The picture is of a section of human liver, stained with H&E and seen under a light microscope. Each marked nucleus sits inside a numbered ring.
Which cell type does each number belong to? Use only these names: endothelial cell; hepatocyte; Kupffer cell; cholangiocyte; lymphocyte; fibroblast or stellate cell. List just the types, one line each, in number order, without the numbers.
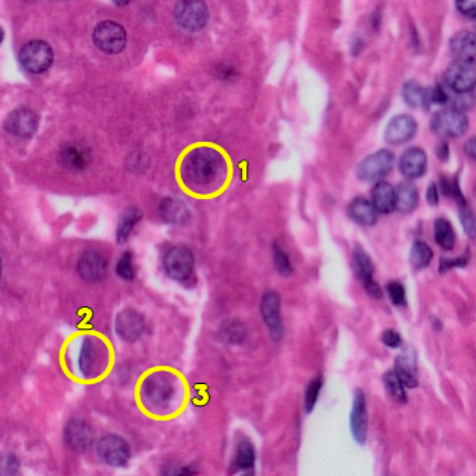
hepatocyte
endothelial cell
hepatocyte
